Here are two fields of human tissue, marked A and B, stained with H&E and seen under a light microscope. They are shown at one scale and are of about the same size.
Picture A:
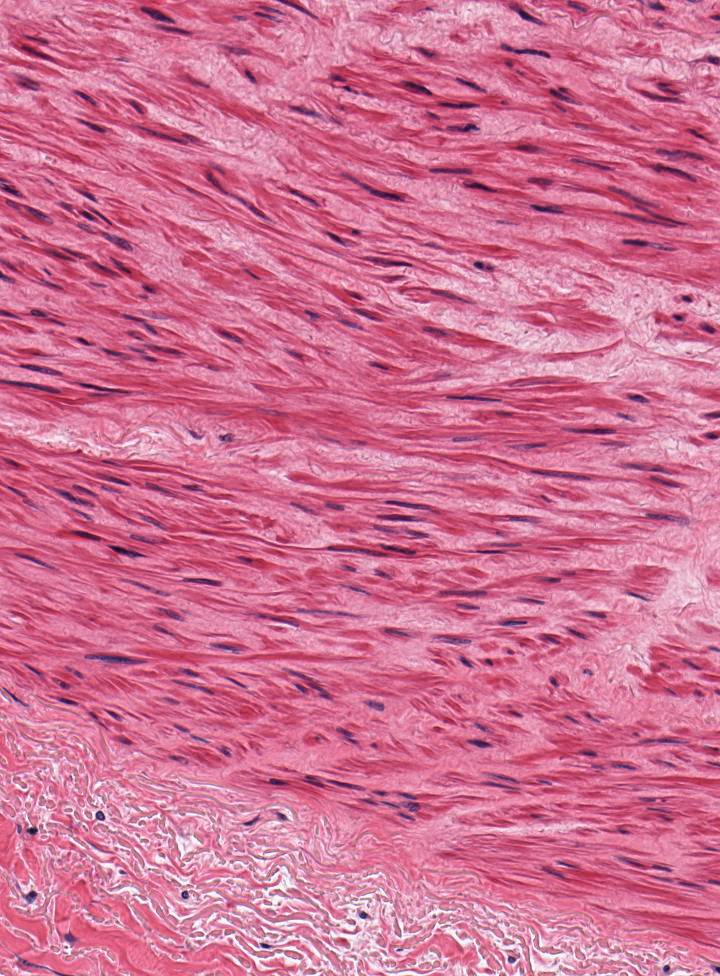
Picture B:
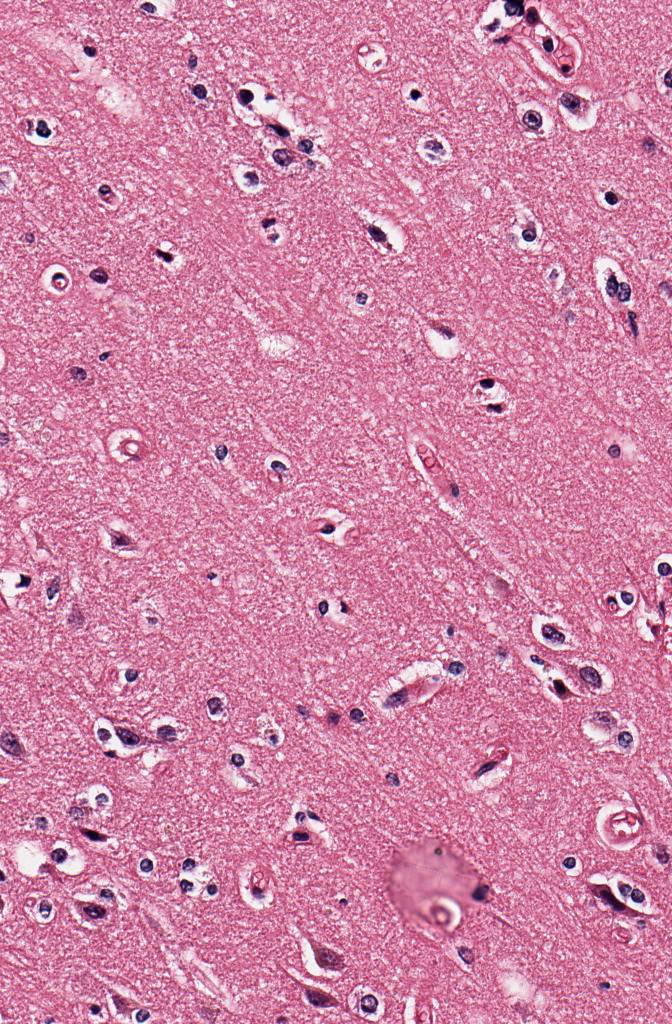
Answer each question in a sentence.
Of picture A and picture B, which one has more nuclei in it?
Picture A holds more nuclei than picture B.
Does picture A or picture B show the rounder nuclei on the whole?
The nuclei are rounder in picture B.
